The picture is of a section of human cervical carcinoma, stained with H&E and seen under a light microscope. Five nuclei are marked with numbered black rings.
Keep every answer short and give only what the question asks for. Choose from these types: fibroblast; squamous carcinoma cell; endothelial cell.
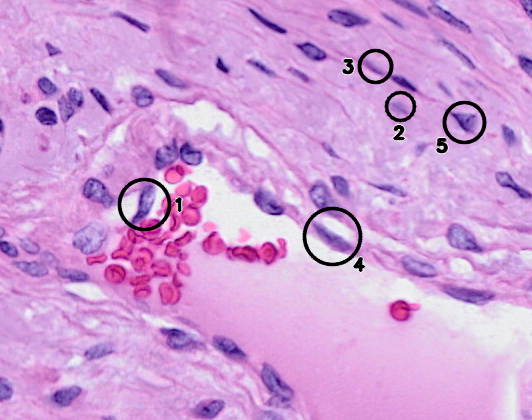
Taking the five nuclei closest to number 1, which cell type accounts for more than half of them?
endothelial cell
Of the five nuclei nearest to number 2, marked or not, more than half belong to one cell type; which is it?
fibroblast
